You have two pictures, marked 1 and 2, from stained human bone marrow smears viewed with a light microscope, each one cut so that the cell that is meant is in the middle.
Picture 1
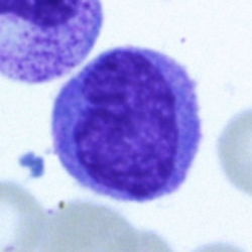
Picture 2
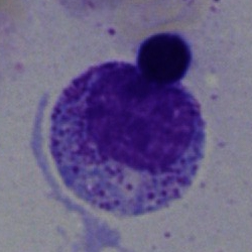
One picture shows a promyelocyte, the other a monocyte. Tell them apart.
1: monocyte
2: promyelocyte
